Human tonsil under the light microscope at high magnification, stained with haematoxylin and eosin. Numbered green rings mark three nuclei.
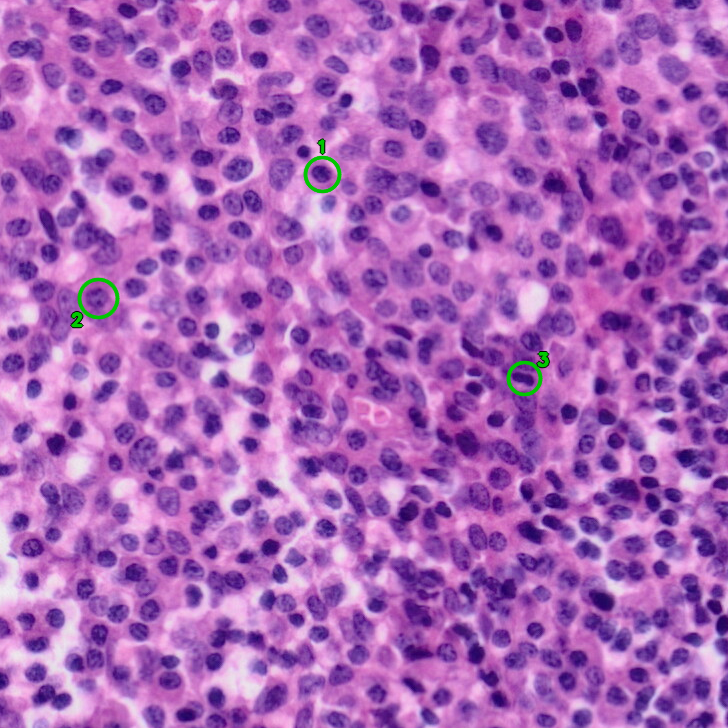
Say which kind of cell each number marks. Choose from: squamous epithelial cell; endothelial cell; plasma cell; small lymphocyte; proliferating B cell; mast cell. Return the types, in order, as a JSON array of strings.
["plasma cell", "plasma cell", "squamous epithelial cell"]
